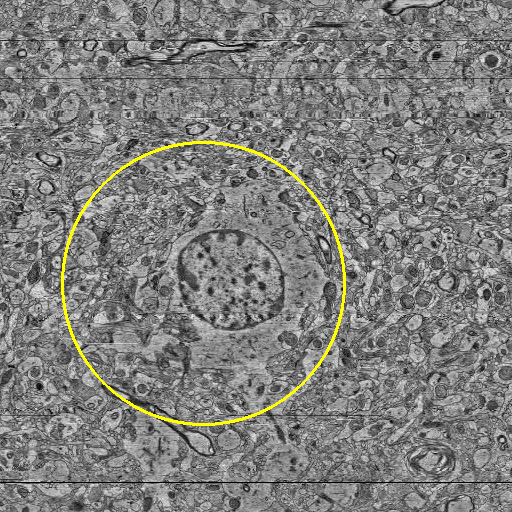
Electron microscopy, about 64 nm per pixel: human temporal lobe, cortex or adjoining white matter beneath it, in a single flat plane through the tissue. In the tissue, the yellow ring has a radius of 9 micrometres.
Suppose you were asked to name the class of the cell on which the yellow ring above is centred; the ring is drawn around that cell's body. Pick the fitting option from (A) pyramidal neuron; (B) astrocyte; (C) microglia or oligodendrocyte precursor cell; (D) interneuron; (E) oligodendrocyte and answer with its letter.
B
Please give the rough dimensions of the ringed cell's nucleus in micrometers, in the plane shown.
In this plane the nucleus measures roughly 7 micrometres across.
